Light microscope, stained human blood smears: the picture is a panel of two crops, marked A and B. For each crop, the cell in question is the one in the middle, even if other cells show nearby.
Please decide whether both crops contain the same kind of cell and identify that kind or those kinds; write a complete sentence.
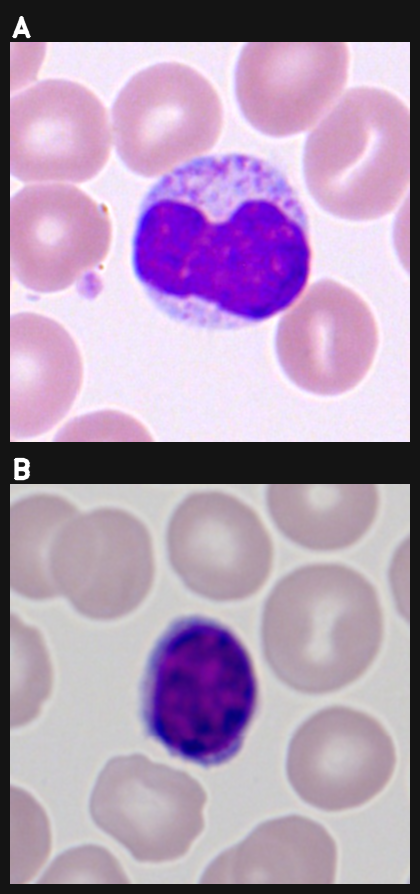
Yes, both crops show lymphocytes, one in each.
